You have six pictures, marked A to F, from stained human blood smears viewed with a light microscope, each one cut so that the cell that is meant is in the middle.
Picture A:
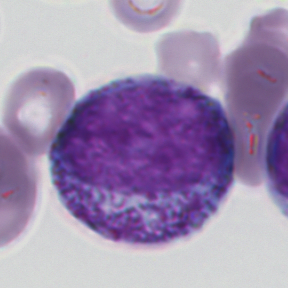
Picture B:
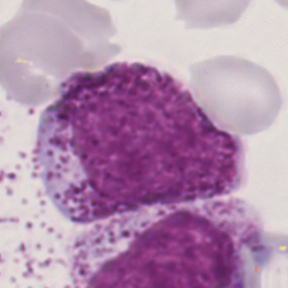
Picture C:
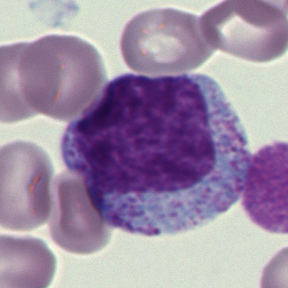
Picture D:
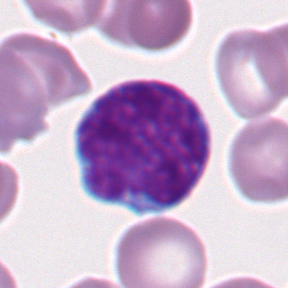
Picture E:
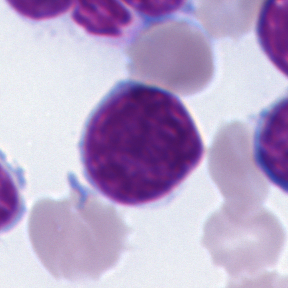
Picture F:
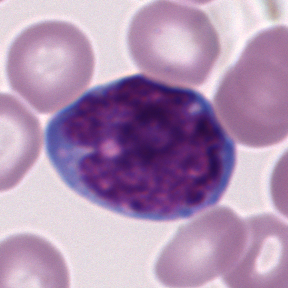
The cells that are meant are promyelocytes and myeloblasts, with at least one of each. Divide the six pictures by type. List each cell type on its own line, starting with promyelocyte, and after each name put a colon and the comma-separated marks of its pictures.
promyelocyte: A, B, C
myeloblast: D, E, F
